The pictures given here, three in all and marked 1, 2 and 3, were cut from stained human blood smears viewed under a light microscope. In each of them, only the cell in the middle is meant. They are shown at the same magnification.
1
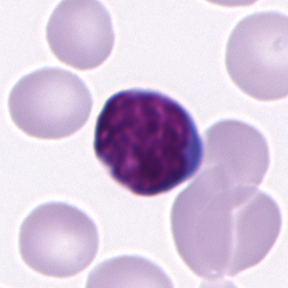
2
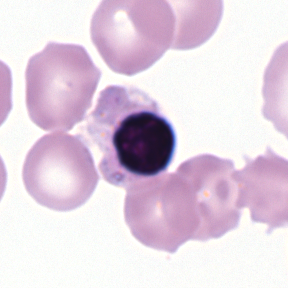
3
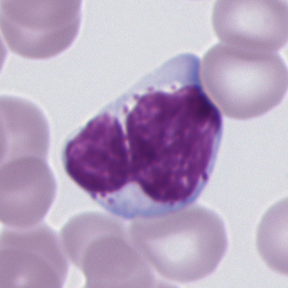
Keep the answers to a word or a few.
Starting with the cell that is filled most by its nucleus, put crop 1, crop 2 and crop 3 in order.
1, 3, 2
